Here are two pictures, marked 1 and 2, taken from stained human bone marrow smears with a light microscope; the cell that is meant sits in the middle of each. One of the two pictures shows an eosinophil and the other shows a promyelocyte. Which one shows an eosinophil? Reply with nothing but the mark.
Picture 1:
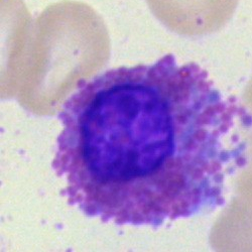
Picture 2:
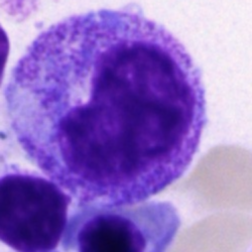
1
